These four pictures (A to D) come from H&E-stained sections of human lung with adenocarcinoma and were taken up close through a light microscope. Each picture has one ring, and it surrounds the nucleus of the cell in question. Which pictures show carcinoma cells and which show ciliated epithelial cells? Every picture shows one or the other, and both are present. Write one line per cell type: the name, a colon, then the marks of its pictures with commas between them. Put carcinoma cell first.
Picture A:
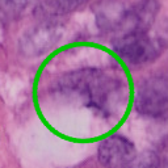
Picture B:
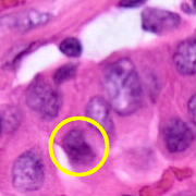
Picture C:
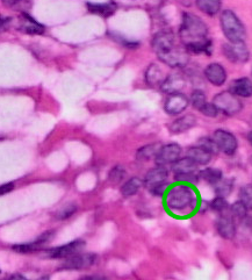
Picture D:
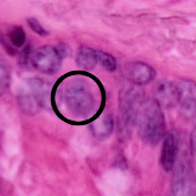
carcinoma cell: B
ciliated epithelial cell: A, C, D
